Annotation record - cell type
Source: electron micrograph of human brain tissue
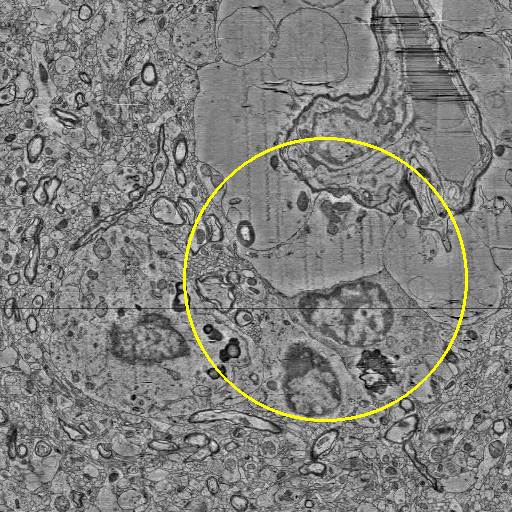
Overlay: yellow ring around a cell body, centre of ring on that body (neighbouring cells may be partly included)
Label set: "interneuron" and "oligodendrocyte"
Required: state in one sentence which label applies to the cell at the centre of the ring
This cell should be labelled as an oligodendrocyte.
